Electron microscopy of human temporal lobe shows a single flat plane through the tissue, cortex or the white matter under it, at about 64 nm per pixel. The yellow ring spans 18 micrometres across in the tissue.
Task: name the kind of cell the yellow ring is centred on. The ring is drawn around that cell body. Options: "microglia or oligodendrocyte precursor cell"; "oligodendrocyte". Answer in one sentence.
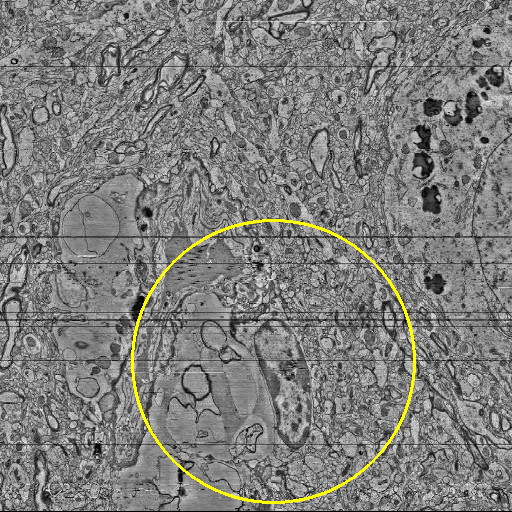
This cell body belongs to a microglial cell or oligodendrocyte precursor cell.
